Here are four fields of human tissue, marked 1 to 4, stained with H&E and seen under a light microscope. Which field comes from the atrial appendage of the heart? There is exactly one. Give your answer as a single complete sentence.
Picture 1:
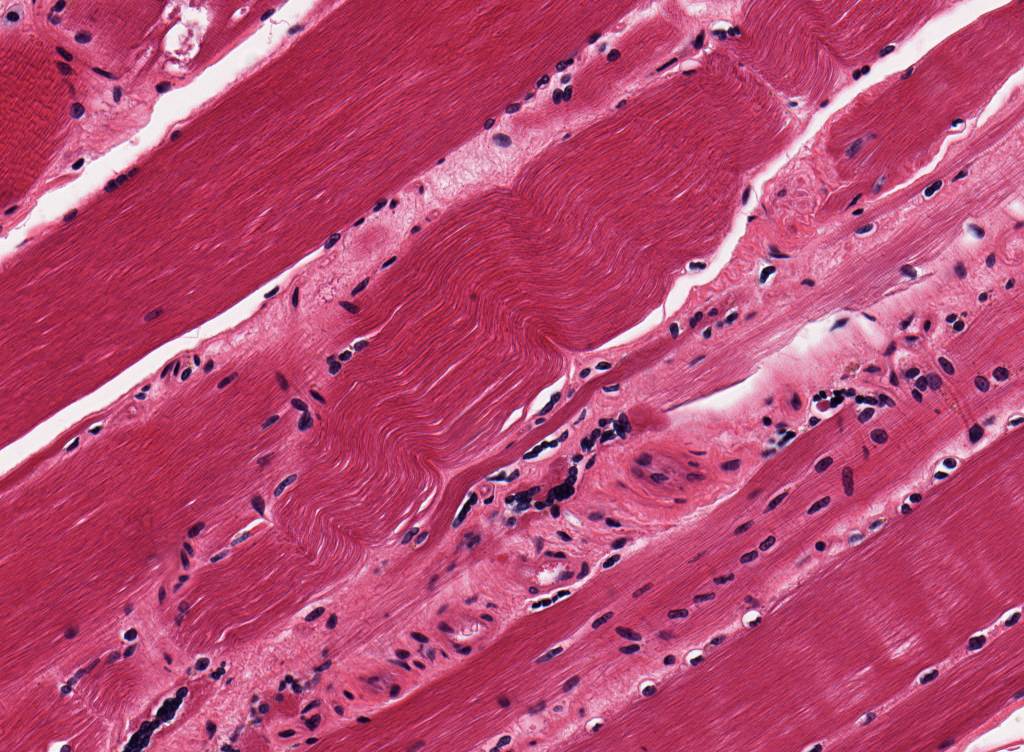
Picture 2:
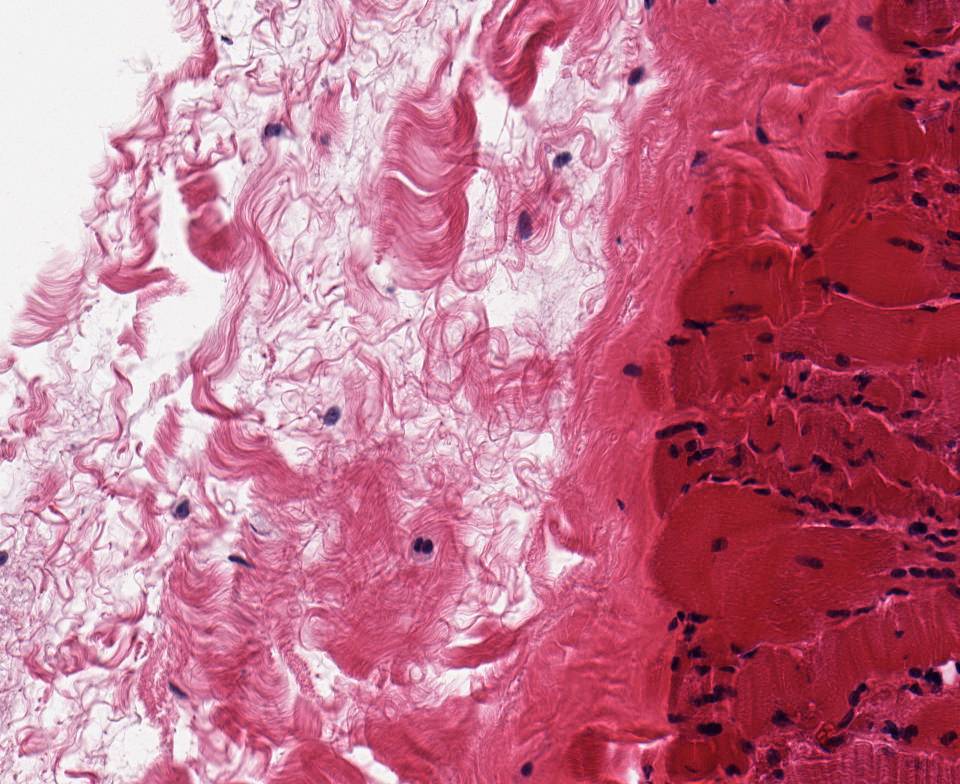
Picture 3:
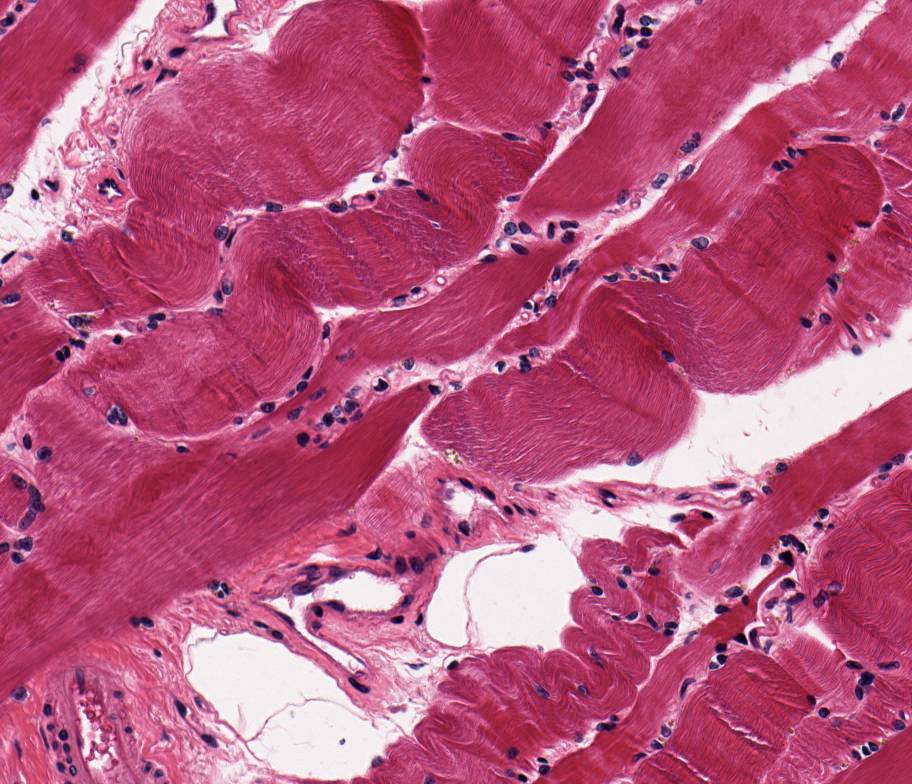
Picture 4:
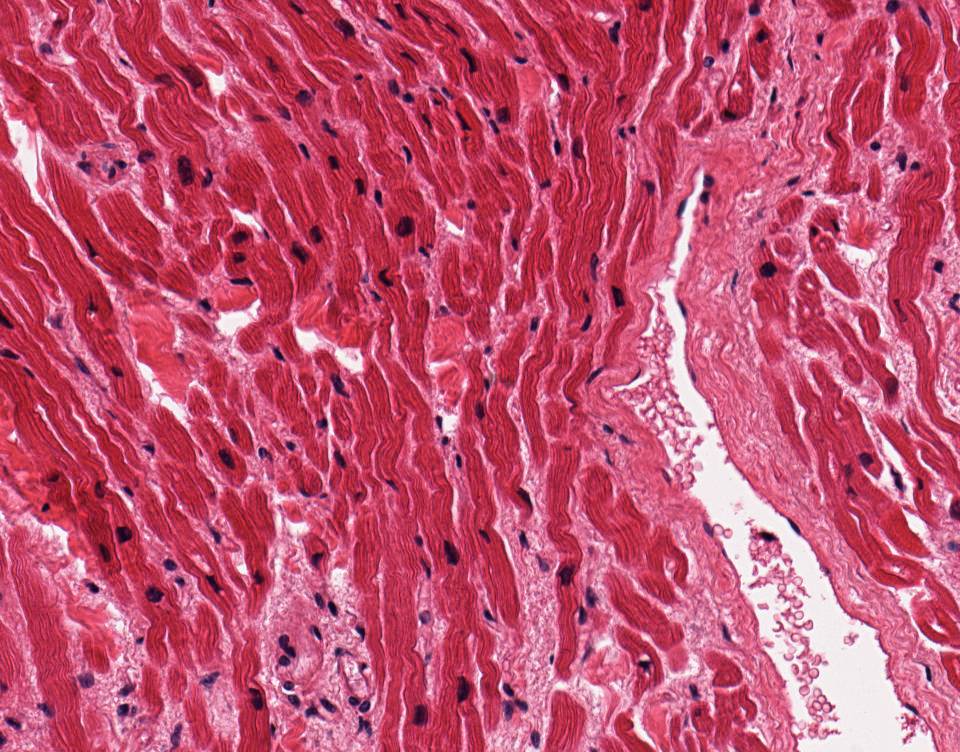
Picture 4 comes from the atrial appendage of the heart.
